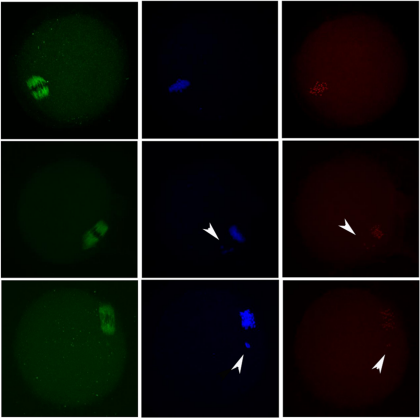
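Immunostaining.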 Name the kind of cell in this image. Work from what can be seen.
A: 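Oocytes. Each image is filled by one very large round cell. A single barrel-shaped spindle with a cluster of chromosomes lies in the cell, well off its centre.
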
